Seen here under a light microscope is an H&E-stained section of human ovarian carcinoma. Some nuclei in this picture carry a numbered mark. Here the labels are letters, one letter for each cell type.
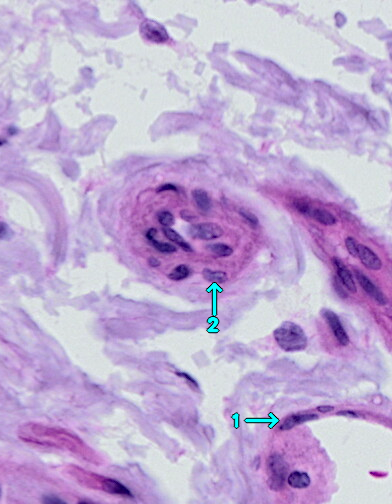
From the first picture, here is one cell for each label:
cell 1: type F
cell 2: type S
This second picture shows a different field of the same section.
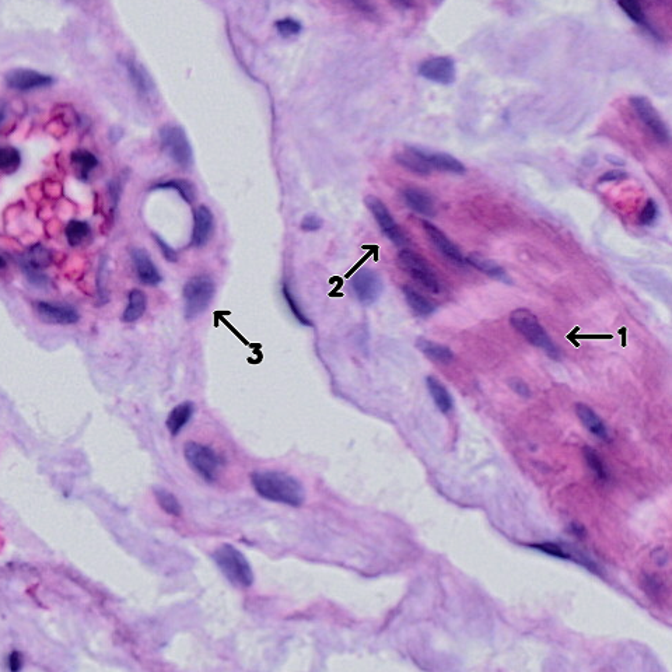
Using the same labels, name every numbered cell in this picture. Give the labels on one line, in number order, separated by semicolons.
type S; type S; type F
